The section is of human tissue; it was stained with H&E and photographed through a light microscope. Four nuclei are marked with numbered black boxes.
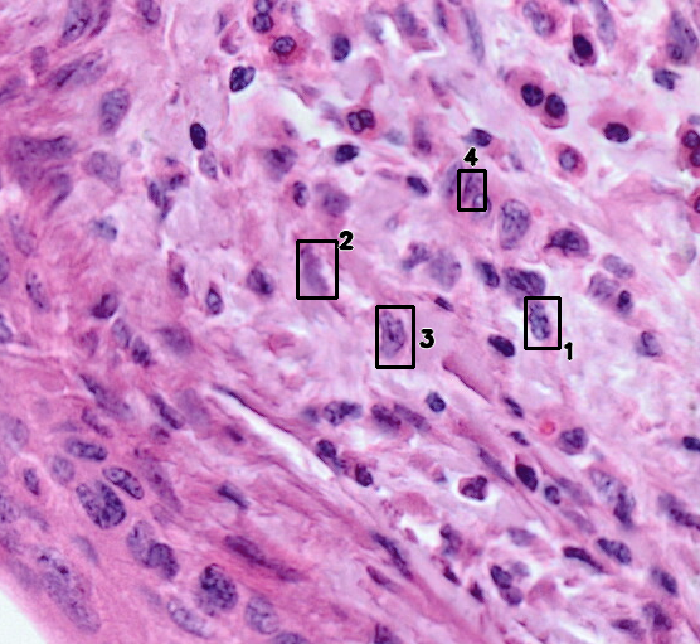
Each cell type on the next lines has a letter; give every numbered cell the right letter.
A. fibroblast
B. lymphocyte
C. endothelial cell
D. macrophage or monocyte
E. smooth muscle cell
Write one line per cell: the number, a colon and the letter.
1: B
2: A
3: D
4: C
